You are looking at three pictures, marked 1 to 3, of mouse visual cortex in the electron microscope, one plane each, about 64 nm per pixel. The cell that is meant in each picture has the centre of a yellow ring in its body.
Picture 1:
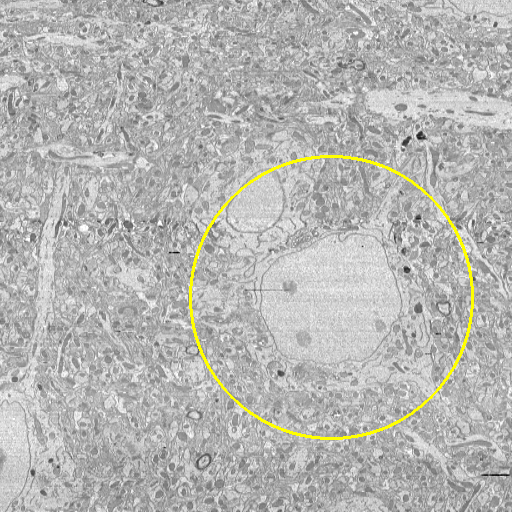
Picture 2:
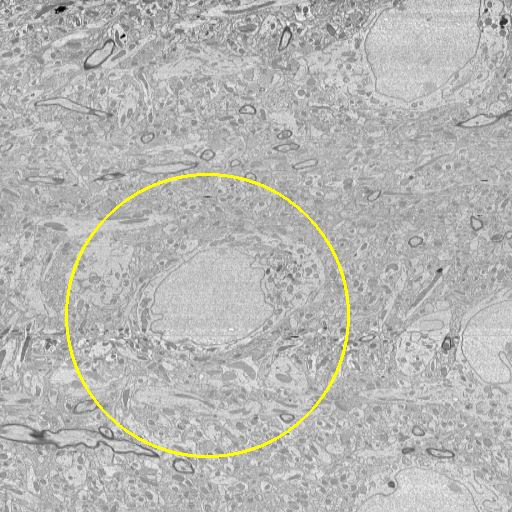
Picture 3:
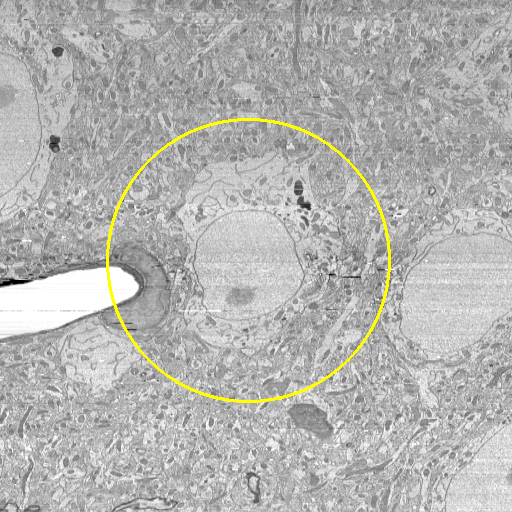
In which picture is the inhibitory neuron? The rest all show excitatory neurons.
It is picture 2 that shows the inhibitory neuron.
